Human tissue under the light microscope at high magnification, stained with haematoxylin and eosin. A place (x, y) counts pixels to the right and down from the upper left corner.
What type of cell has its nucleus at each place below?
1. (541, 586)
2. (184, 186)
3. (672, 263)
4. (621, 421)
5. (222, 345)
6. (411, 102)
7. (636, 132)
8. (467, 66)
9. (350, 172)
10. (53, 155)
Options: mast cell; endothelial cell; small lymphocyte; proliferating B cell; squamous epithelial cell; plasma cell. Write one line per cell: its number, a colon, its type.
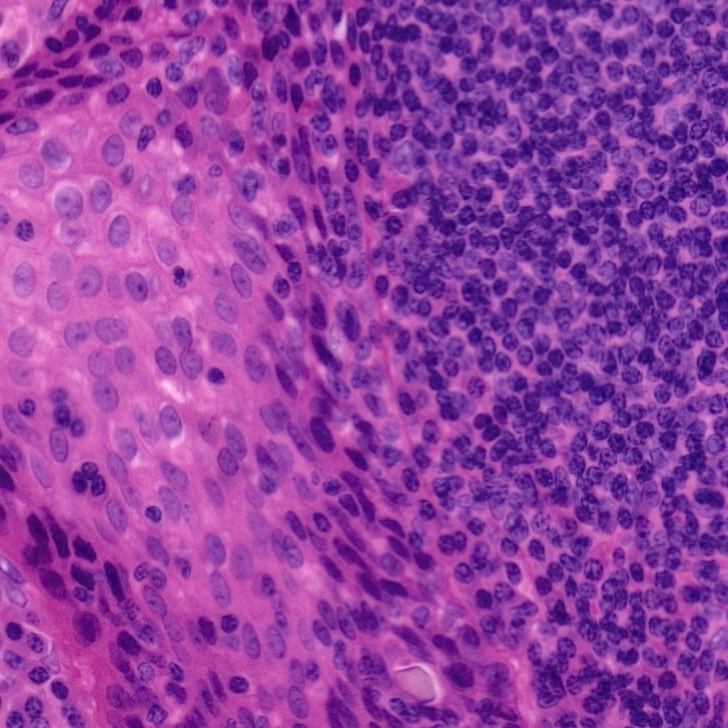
1: plasma cell
2: squamous epithelial cell
3: small lymphocyte
4: small lymphocyte
5: squamous epithelial cell
6: small lymphocyte
7: small lymphocyte
8: small lymphocyte
9: plasma cell
10: squamous epithelial cell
